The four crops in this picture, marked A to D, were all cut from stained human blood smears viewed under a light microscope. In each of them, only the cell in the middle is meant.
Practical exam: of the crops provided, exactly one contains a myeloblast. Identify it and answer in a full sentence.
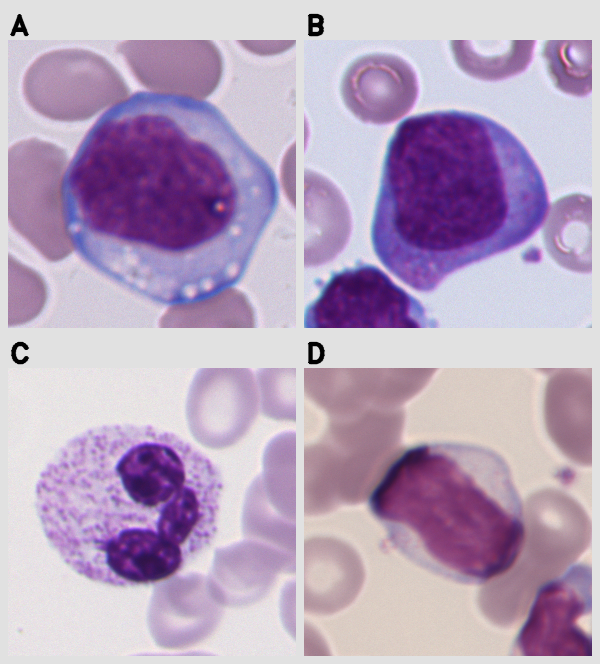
Crop A alone, of all the crops, shows a myeloblast.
